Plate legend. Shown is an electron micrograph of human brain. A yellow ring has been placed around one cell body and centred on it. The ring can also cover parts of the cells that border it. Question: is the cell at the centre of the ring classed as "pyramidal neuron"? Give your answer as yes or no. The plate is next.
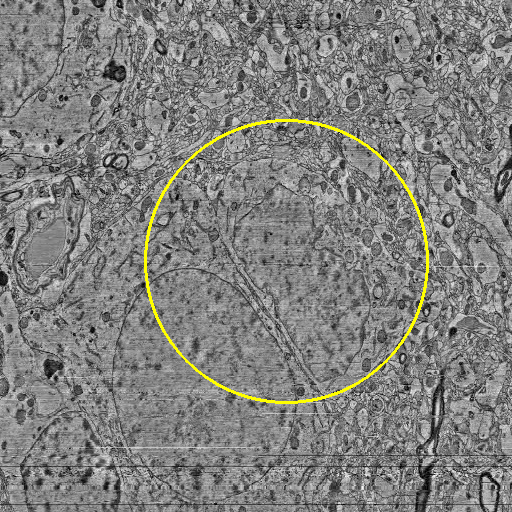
No, the ringed cell is of another kind.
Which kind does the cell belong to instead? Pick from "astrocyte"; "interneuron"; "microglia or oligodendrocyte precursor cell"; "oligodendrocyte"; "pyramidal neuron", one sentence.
The ringed cell in this picture is, instead, an interneuron.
